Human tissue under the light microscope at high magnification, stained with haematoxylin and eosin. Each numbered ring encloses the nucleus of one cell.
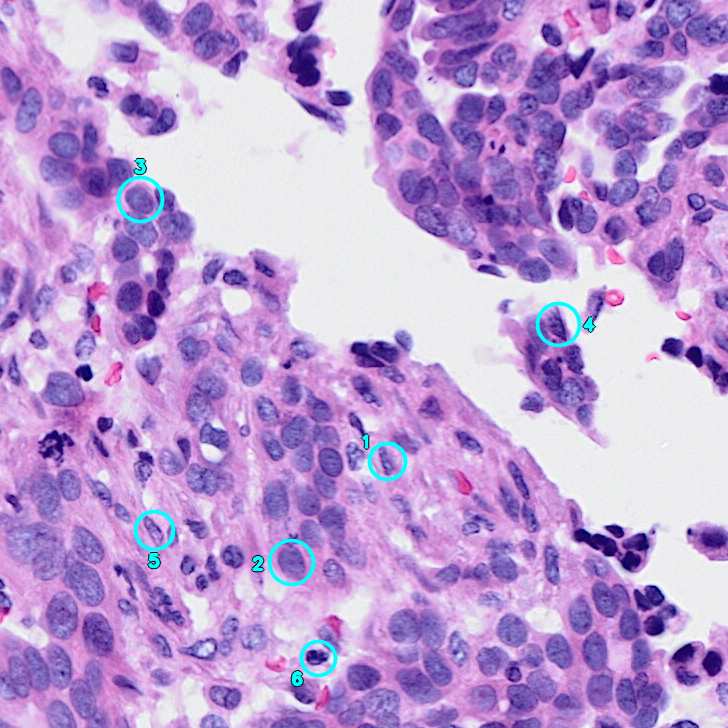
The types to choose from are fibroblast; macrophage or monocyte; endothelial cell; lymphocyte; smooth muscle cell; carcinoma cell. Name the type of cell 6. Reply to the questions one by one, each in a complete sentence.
In this section, the cell tagged 6 is a lymphocyte.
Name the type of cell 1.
The correct label for cell 1 is a fibroblast.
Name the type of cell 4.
In this section, the cell numbered 4 is a carcinoma cell.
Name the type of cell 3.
It is as a carcinoma cell that the cell numbered 3 is identified.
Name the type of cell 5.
Looking at the numbered marks, cell 5 is a fibroblast.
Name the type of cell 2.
The marked cell with the number 2 is recognised as a carcinoma cell.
